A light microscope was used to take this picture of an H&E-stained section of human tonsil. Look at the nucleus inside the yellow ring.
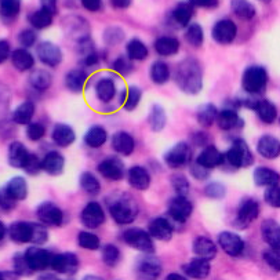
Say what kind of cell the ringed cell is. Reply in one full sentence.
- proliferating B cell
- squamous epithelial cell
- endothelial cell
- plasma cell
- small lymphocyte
In the tissue at hand, the ringed cell is a small lymphocyte.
